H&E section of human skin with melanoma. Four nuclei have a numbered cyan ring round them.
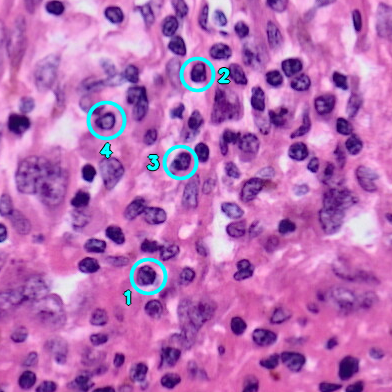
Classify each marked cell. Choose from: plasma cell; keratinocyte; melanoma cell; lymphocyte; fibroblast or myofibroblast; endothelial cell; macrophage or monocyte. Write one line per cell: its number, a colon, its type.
1: lymphocyte
2: lymphocyte
3: lymphocyte
4: plasma cell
